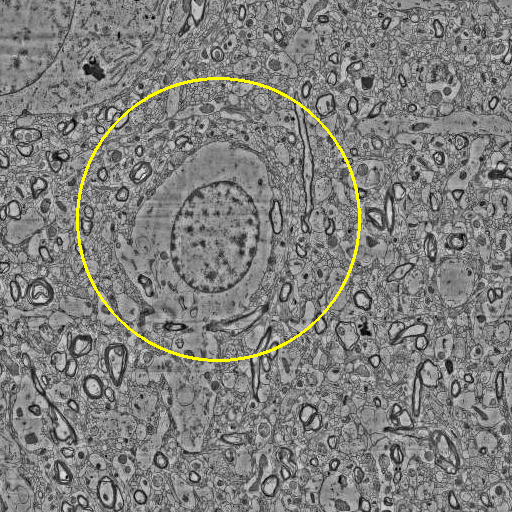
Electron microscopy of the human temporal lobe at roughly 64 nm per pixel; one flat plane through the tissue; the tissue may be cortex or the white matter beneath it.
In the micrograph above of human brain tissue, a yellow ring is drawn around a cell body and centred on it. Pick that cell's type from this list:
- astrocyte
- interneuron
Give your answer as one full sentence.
Going by the list, an astrocyte is the cell on which the yellow ring is centred.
